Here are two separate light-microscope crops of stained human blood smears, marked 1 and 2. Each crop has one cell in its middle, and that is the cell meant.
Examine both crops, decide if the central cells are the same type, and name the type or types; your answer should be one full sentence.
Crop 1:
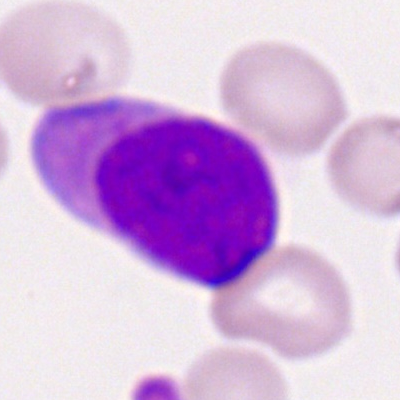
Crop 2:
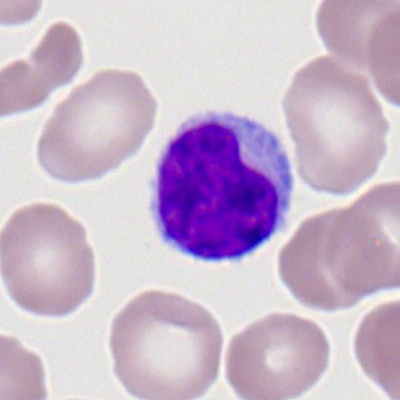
No, crop 2 holds a lymphocyte, while crop 1 holds a myeloblast.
